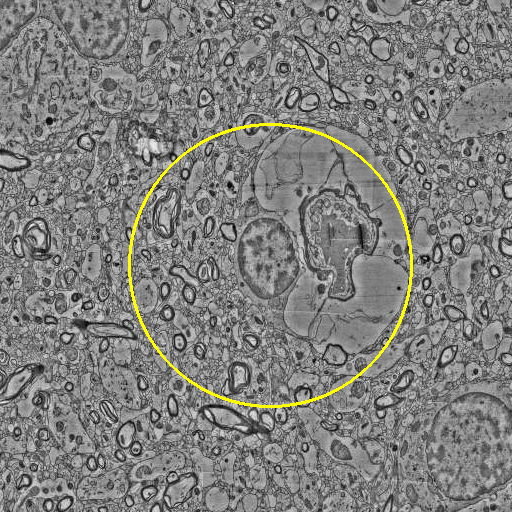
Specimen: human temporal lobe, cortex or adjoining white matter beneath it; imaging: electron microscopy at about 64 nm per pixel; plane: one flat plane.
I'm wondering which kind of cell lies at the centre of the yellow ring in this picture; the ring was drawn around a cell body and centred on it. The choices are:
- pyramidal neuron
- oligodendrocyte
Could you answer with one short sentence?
At the centre of the ring lies an oligodendrocyte.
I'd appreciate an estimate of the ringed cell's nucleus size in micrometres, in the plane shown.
Roughly 5 micrometres by 4 micrometres, in this plane.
